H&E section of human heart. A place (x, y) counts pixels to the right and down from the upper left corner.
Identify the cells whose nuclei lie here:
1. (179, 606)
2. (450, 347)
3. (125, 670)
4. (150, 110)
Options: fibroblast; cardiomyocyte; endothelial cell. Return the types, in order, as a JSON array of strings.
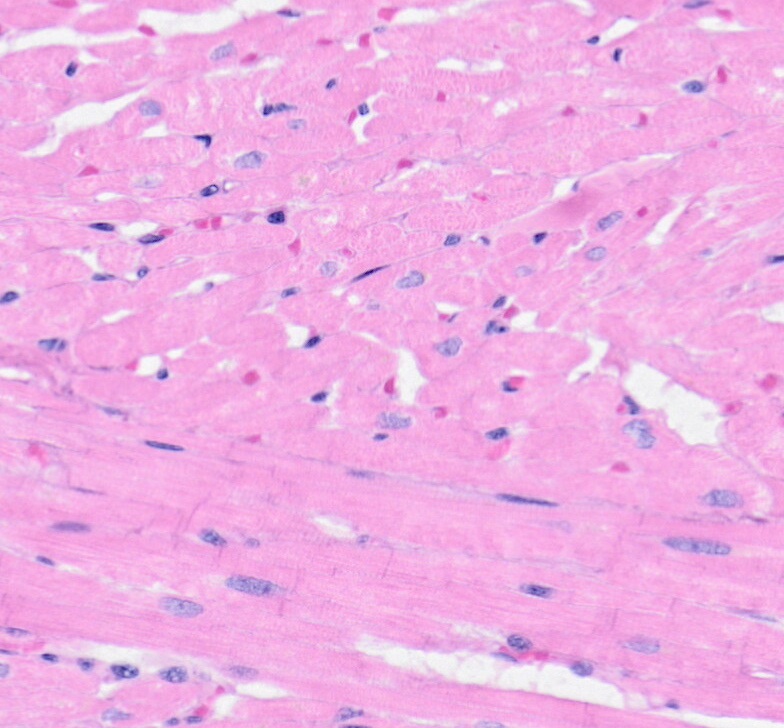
["cardiomyocyte", "cardiomyocyte", "fibroblast", "cardiomyocyte"]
